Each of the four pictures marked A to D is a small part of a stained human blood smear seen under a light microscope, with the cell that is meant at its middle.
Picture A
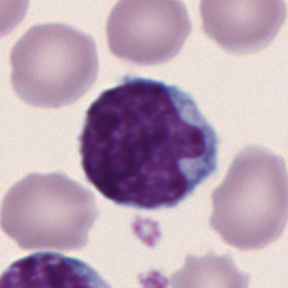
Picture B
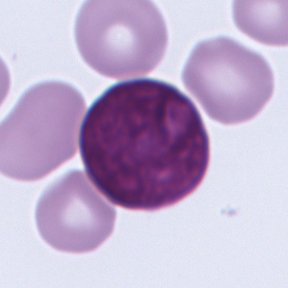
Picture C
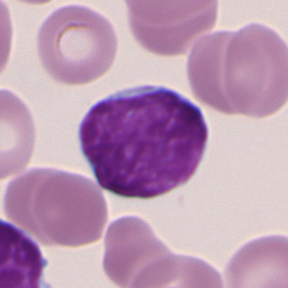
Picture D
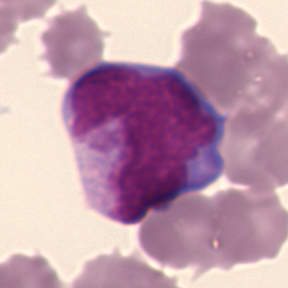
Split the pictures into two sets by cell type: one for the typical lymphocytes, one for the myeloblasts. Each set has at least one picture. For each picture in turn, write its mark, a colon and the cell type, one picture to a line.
A: typical lymphocyte
B: myeloblast
C: typical lymphocyte
D: myeloblast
